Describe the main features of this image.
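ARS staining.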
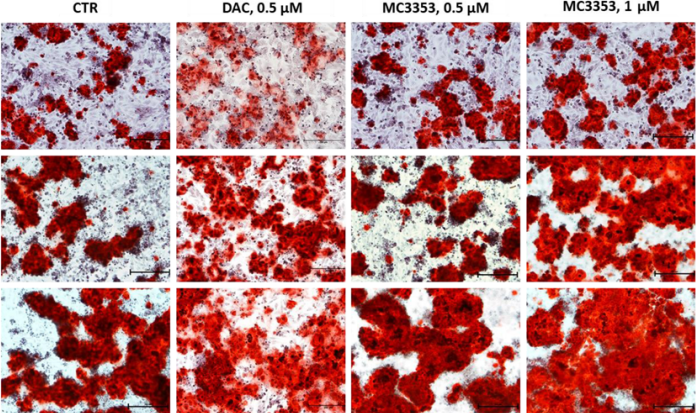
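In each image, irregular red nodules and clumps of deposit lie over a paler, purplish-grey sheet of cells. In some images the red deposits are sparse, separate clusters with much pale background between them. In others they are larger and run together over most of the field.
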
